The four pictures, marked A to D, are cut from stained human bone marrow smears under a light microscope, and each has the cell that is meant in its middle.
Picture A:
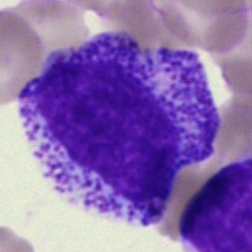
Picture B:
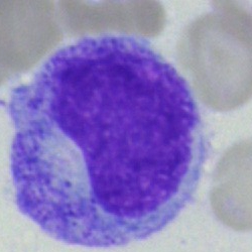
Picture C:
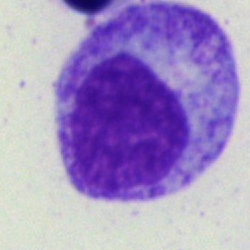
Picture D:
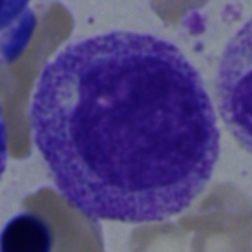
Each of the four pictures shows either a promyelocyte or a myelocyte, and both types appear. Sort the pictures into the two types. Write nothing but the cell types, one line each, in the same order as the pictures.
myelocyte
promyelocyte
myelocyte
myelocyte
